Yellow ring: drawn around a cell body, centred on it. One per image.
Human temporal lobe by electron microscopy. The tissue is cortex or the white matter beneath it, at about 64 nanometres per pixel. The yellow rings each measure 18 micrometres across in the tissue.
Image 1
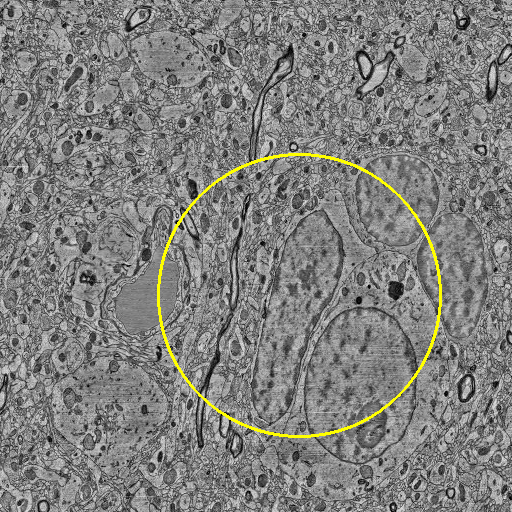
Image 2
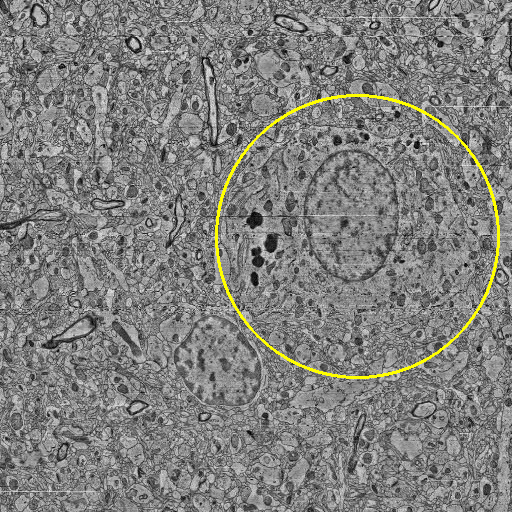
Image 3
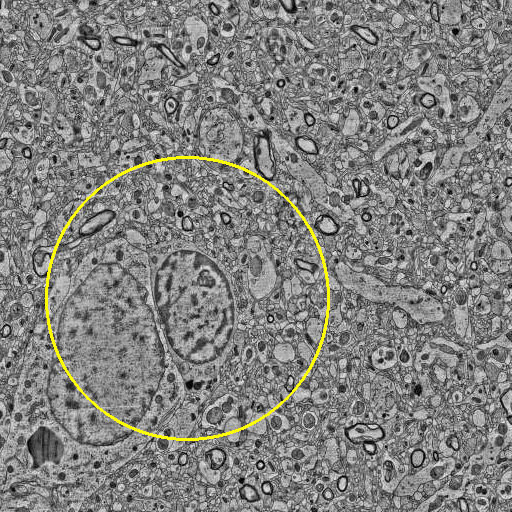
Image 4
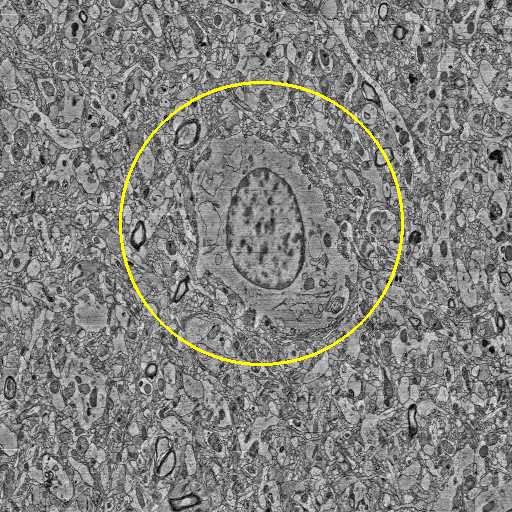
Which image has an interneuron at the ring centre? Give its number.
2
